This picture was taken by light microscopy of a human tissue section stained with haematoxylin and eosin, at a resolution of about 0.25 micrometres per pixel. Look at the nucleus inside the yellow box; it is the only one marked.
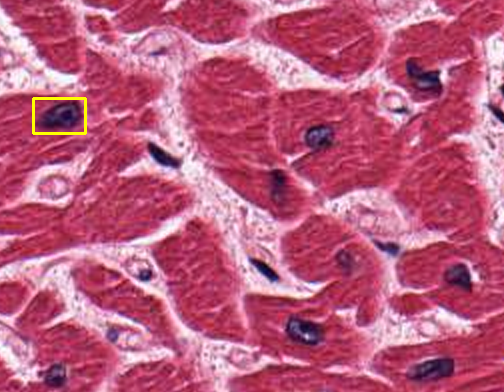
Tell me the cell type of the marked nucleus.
cardiomyocyte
